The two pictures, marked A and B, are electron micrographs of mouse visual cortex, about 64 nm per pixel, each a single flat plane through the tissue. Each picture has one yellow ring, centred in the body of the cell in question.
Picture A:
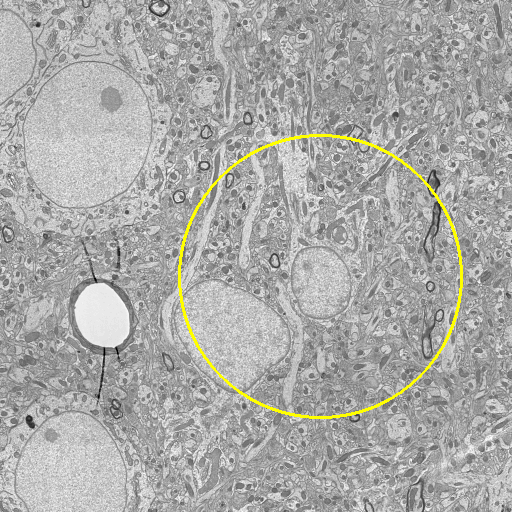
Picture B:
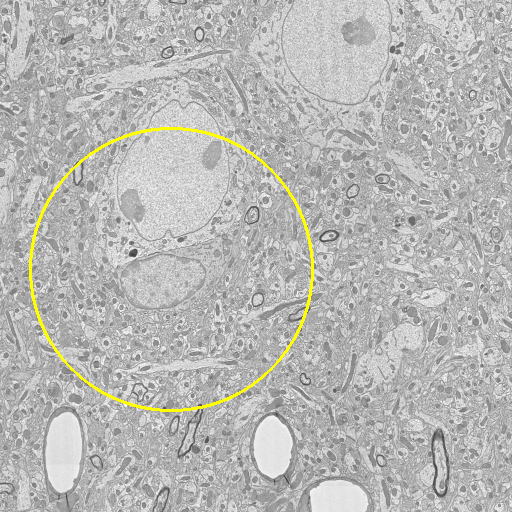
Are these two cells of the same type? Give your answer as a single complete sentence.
No, they differ: the cell is an astrocyte in picture A and an oligodendrocyte in picture B.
